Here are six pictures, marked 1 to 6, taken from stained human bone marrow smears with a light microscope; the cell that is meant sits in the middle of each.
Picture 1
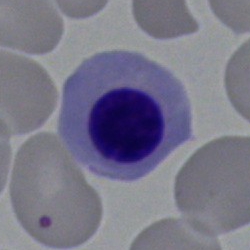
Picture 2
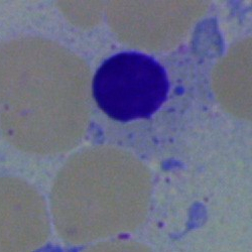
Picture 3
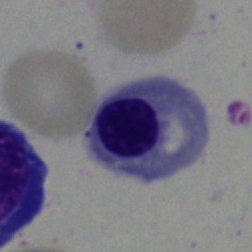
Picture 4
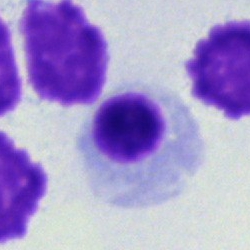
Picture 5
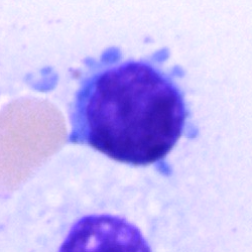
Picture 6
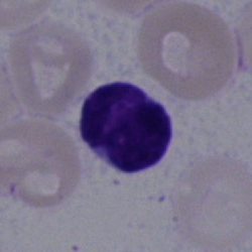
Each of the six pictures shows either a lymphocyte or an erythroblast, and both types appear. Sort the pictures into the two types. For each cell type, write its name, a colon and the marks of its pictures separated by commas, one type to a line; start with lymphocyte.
lymphocyte: 2, 5, 6
erythroblast: 1, 3, 4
